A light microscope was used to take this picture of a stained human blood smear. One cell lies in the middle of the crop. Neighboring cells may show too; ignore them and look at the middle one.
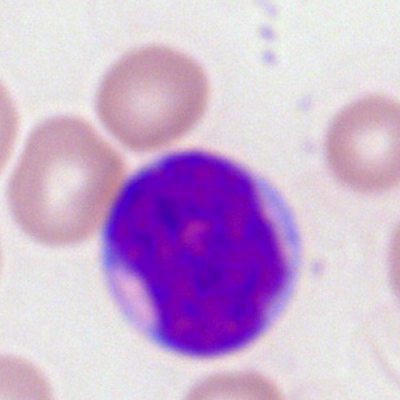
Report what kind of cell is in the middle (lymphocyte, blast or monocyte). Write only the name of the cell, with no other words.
blast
